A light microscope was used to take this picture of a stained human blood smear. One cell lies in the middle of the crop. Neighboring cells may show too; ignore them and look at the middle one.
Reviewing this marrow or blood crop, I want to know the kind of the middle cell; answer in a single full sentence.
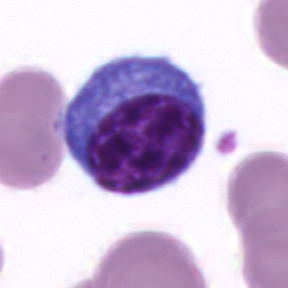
Where the crop is centred, there is a plasma cell.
